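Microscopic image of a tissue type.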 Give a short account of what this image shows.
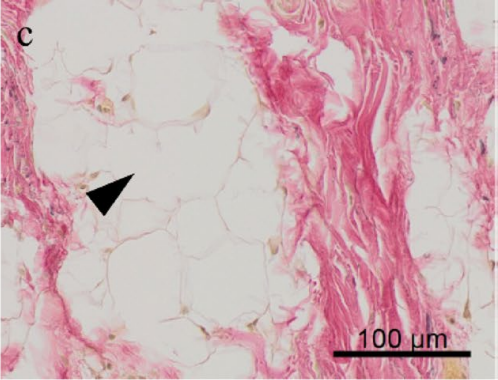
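This is fat, adipose tissue: large, empty-looking polygonal cells pressed against one another, each lined by only a thin membrane. Alongside runs a band of wavy pink-stained fibres.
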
